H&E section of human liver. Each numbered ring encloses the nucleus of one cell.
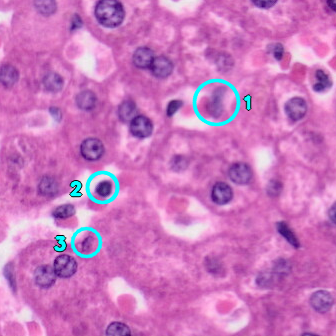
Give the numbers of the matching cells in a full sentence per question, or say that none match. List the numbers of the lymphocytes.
Among the numbered cells, the one that is a lymphocyte is cell 2 alone.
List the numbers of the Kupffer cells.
Cell 1 is the single numbered cell that is a Kupffer cell.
